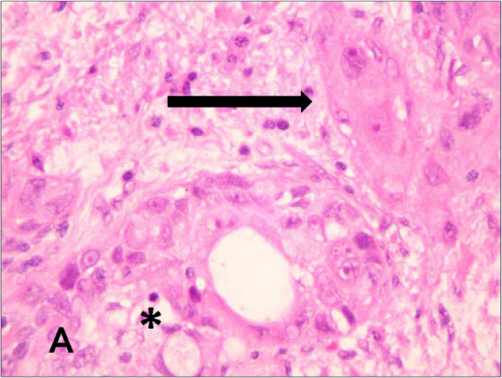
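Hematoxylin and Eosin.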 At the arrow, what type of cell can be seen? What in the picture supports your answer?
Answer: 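The arrow points to large polygonal cells with abundant dense pink cytoplasm. The answer: squamous cells.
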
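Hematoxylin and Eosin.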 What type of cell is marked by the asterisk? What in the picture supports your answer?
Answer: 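Near the asterisk lie cells with pale, clear, vacuolated cytoplasm. On this evidence: mucin-secreting cells.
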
